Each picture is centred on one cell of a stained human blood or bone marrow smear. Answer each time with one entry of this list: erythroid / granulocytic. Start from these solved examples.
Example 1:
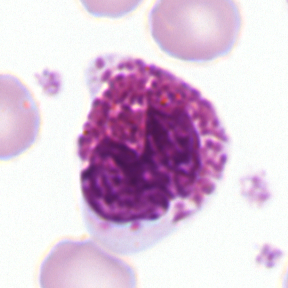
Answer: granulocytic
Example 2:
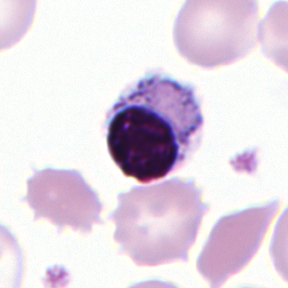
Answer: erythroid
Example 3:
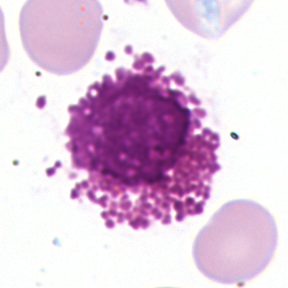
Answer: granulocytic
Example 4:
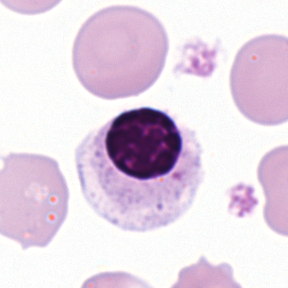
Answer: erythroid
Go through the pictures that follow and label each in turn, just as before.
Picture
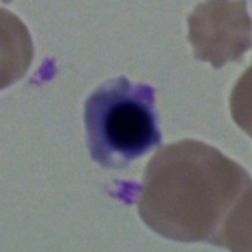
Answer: erythroid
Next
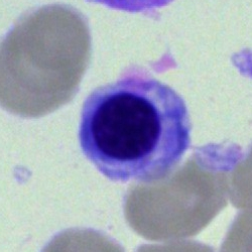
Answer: erythroid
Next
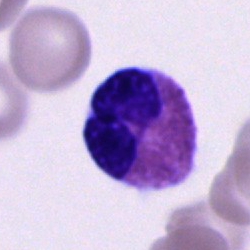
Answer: granulocytic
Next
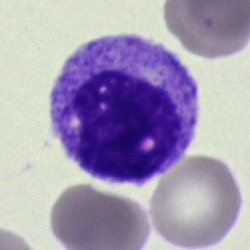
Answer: granulocytic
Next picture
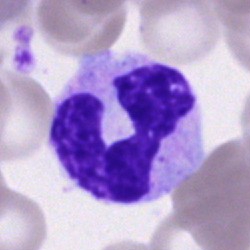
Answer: granulocytic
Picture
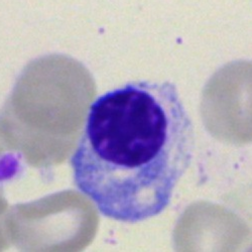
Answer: erythroid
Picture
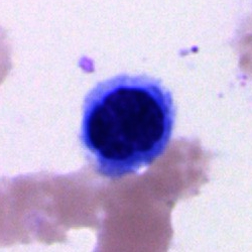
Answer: erythroid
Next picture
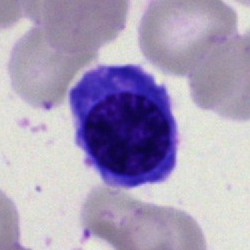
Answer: erythroid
